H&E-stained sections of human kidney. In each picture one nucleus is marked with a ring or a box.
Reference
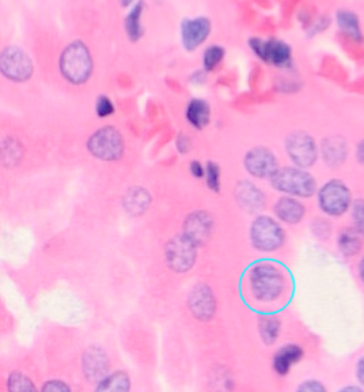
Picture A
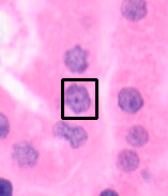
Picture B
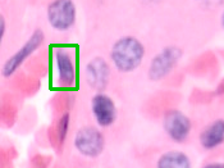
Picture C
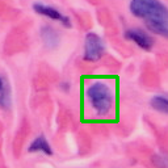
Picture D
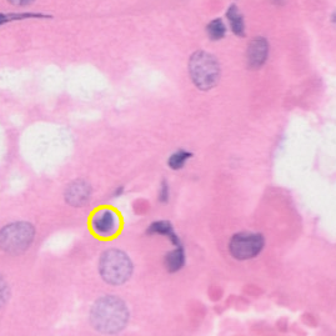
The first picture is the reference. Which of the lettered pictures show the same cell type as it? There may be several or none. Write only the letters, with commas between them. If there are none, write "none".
none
